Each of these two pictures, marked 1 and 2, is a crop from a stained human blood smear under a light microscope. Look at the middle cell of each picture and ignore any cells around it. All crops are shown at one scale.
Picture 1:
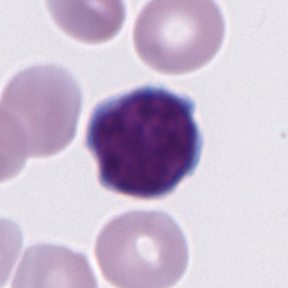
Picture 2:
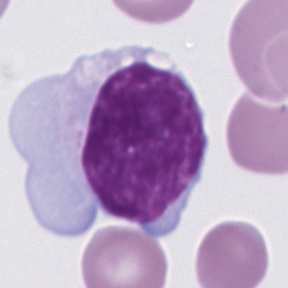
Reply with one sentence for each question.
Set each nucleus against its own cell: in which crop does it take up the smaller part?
In picture 2 the nucleus takes up the smaller part of its cell.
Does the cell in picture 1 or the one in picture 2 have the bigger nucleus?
Larger is the nucleus in picture 2, at roughly 2 times the area of the other.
